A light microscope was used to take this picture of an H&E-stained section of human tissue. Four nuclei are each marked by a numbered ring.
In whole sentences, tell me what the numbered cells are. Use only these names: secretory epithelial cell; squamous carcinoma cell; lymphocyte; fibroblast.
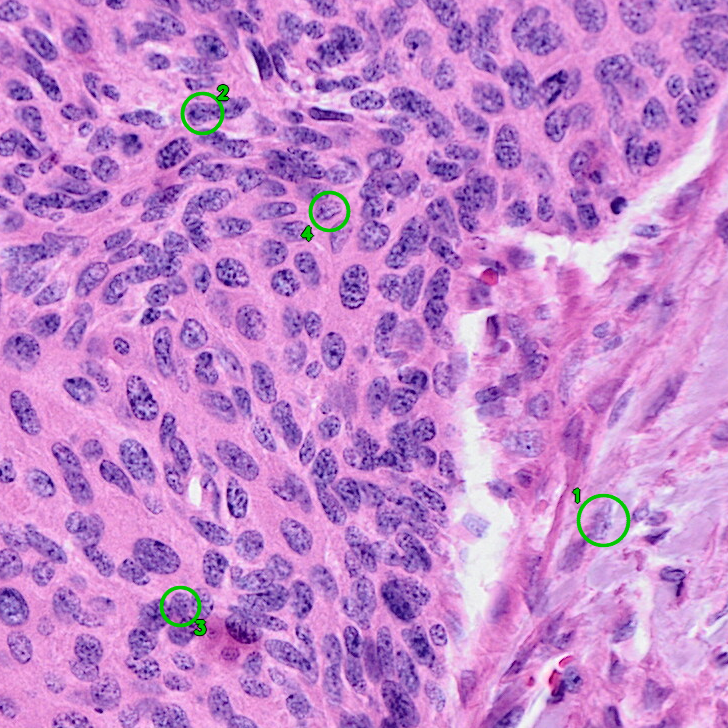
Cell 1 is a fibroblast, cell 2 is a squamous carcinoma cell, cell 3 is a squamous carcinoma cell and cell 4 is a squamous carcinoma cell.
